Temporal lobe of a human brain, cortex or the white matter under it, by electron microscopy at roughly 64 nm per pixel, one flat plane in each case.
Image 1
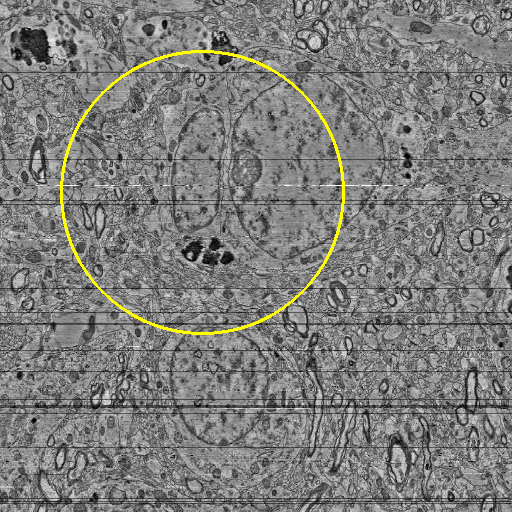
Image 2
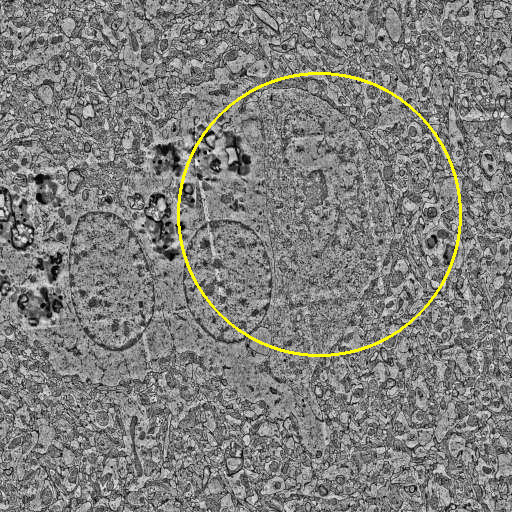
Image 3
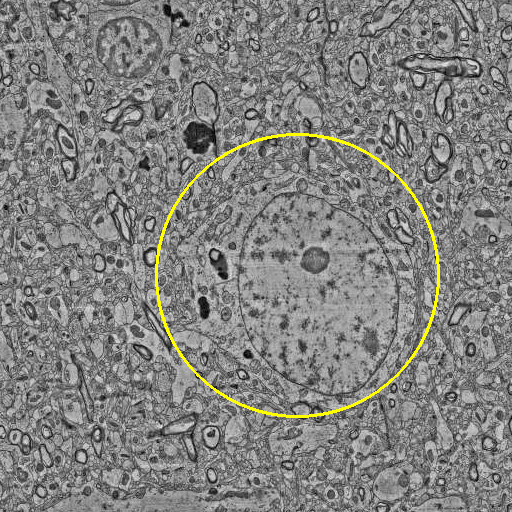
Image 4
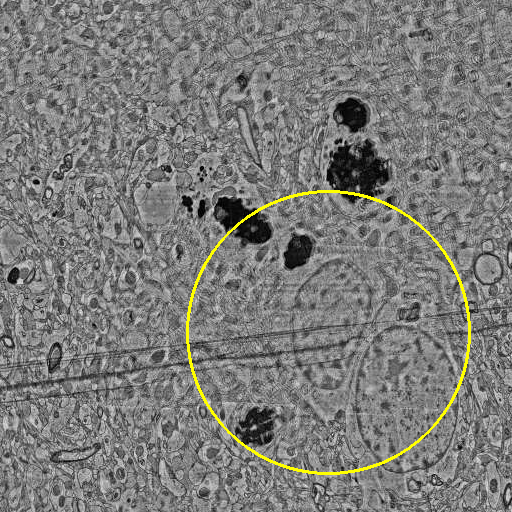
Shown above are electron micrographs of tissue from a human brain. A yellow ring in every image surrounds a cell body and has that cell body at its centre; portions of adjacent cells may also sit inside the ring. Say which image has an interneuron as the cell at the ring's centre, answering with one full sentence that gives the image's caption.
The image whose ring is centred on the requested cell is Image 2.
